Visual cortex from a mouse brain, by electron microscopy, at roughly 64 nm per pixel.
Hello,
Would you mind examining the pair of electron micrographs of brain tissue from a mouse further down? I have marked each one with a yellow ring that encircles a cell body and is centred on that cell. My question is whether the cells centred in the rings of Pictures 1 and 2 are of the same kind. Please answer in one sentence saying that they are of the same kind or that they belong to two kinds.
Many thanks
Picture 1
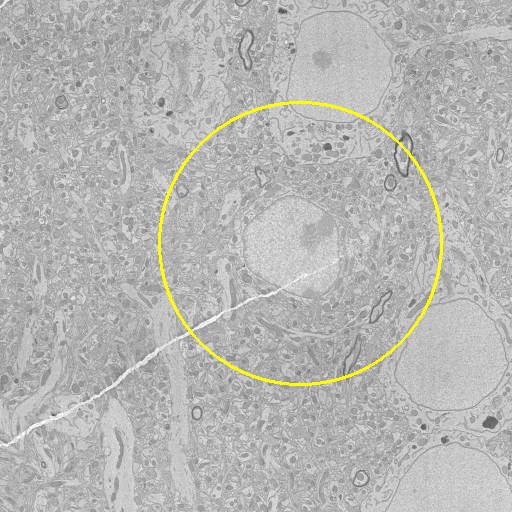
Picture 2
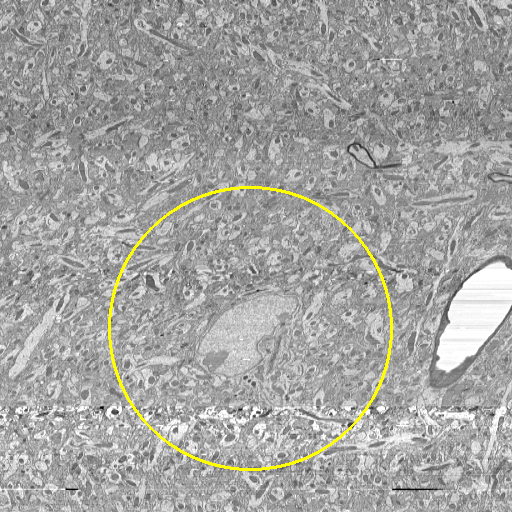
In Pictures 1 and 2, the cells at the heart of the rings are of the same kind.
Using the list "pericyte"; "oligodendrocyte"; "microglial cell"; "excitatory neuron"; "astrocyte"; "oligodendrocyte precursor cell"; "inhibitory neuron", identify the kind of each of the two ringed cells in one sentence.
Each of the two pictures has an astrocyte at the ring centre.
